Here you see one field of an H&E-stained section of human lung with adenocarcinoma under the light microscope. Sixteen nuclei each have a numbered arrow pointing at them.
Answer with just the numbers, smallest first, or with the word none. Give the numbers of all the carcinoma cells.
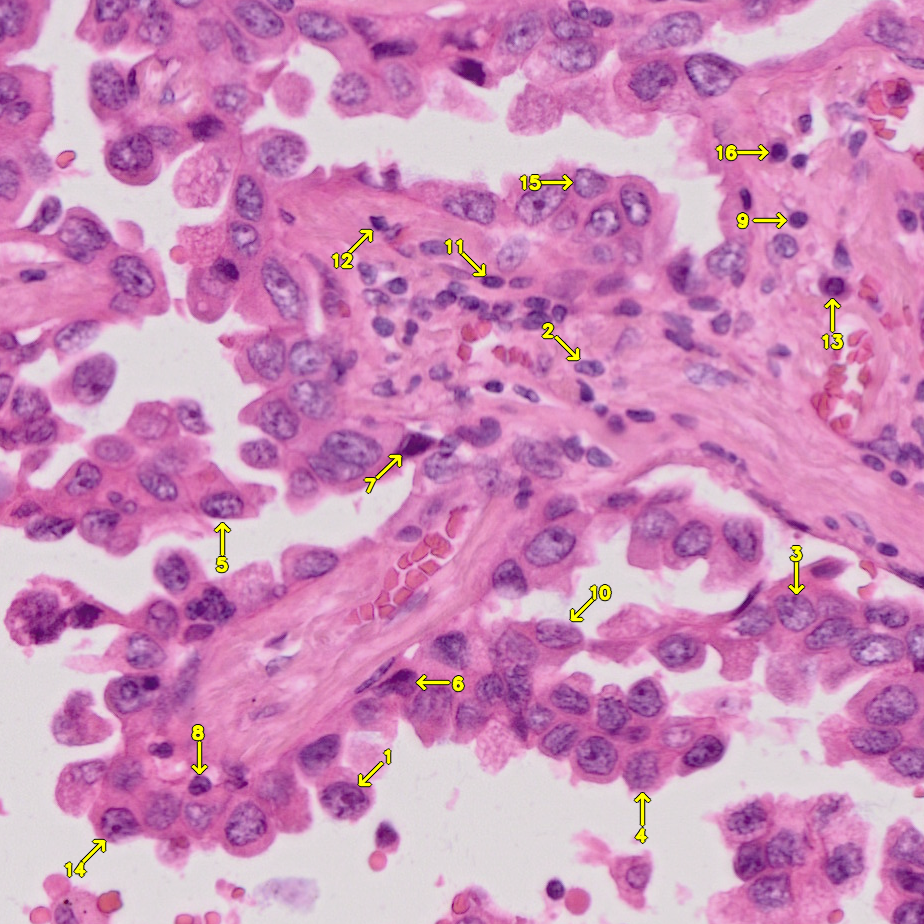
1, 3, 4, 5, 6, 7, 10, 14, 15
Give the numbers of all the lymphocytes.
2, 8, 9, 11, 12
